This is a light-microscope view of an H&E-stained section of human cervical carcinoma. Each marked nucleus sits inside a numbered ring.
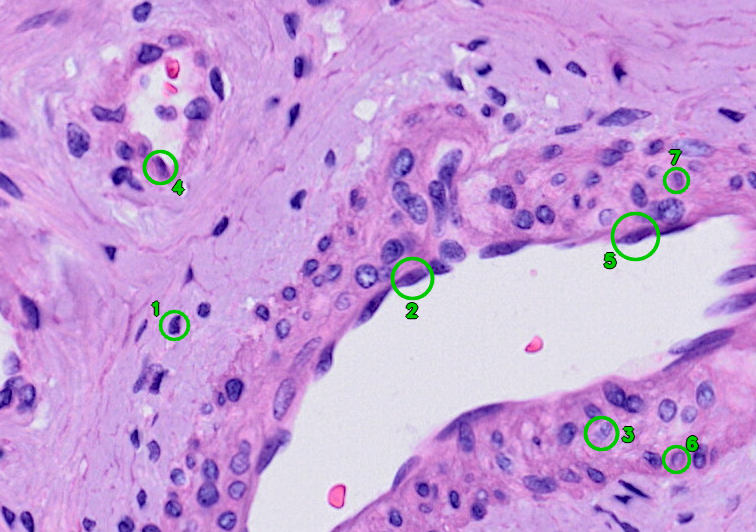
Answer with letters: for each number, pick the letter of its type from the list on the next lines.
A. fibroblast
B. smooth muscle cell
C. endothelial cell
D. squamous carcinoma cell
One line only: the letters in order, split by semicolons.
A; C; B; C; C; B; B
